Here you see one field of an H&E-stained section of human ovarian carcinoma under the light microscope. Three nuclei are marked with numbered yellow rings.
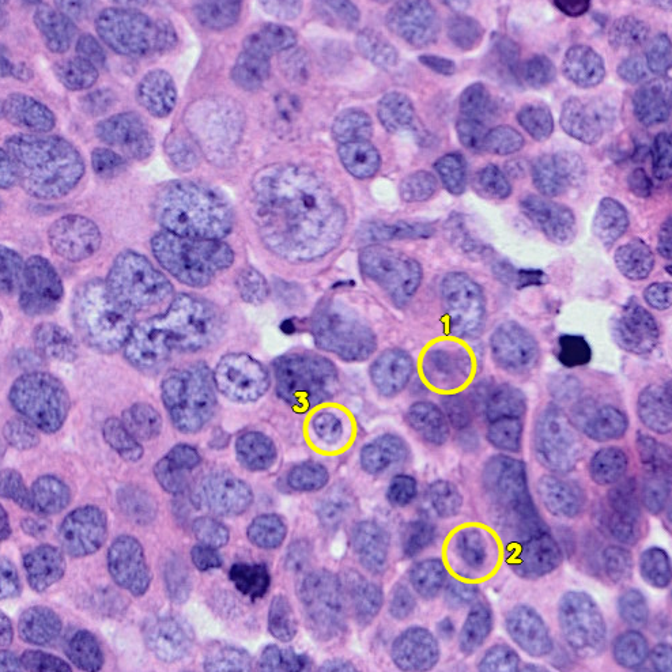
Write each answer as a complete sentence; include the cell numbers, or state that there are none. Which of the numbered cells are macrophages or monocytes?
The cells which carry the numbers 2 and 3 are macrophages or monocytes.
